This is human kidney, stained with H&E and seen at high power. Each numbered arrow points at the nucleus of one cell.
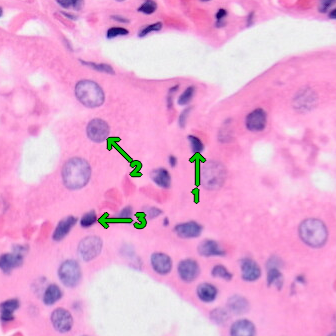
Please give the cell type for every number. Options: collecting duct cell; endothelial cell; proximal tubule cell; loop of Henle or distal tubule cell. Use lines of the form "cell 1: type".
cell 1: endothelial cell
cell 2: proximal tubule cell
cell 3: endothelial cell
